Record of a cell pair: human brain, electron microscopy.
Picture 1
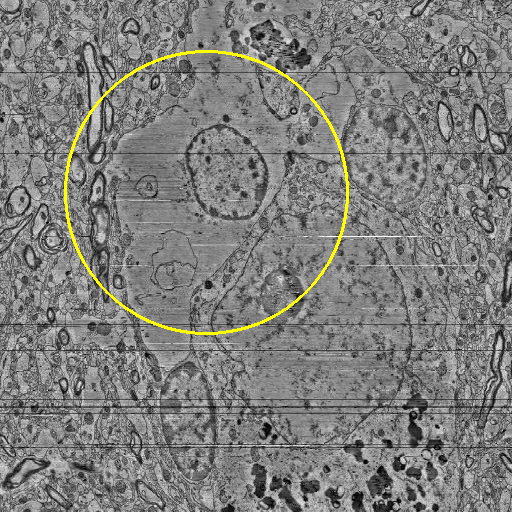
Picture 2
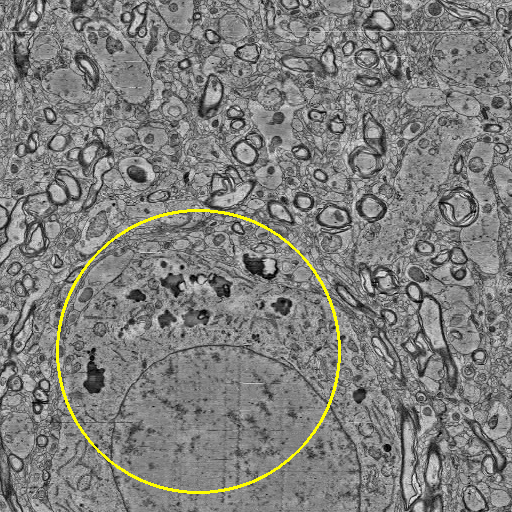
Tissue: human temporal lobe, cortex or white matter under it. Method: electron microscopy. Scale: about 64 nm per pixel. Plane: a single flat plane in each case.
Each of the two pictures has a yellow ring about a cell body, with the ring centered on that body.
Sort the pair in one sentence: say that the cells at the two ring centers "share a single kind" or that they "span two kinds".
The cells centered in the rings of Pictures 1 and 2 span two kinds.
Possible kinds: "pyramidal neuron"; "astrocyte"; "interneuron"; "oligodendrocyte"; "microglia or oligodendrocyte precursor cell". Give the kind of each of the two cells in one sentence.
The cell in the second picture is a pyramidal neuron, and that in the first is an astrocyte.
